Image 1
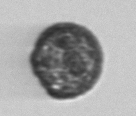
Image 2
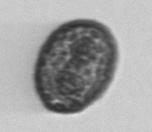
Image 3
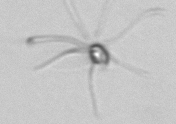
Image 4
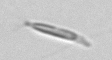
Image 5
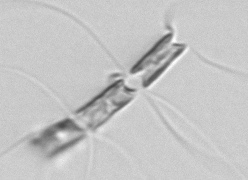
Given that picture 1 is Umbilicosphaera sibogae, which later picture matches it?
2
